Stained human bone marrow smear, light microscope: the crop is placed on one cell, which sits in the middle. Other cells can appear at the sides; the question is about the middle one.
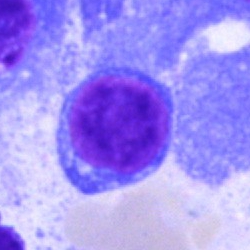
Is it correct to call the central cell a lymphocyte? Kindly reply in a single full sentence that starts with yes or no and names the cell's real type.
Yes, the cell at the heart of the crop is a lymphocyte.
